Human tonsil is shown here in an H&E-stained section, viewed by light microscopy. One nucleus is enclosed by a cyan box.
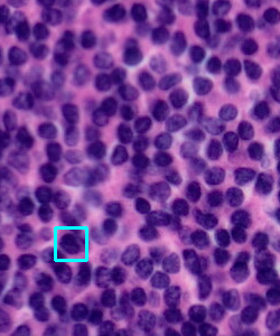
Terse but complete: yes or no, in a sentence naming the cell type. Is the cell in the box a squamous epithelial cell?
No, the cell in the box is a small lymphocyte instead of a squamous epithelial cell.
